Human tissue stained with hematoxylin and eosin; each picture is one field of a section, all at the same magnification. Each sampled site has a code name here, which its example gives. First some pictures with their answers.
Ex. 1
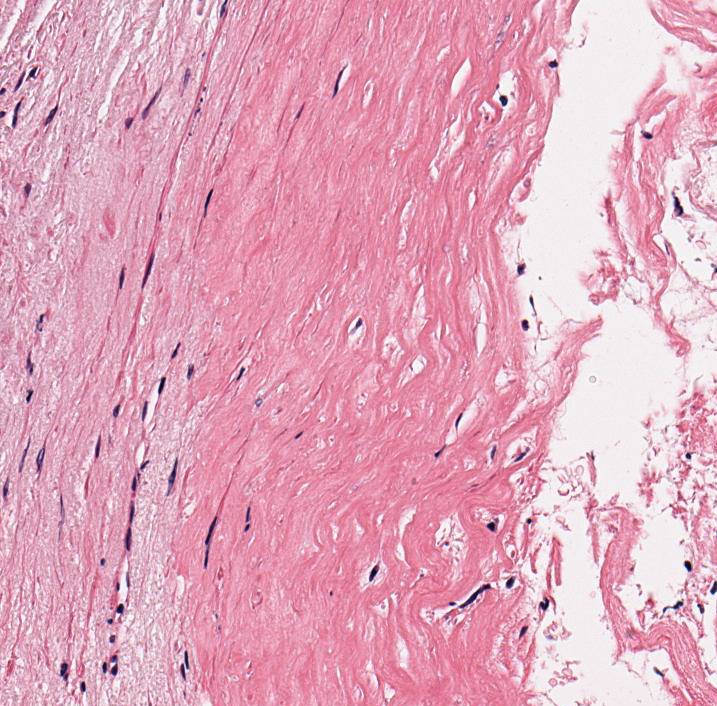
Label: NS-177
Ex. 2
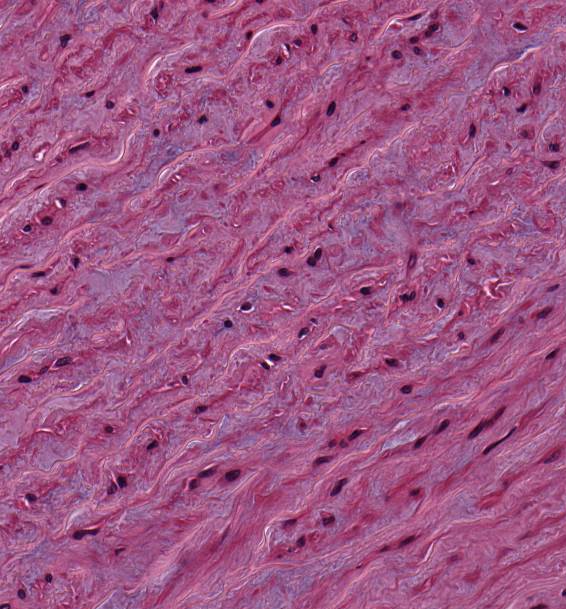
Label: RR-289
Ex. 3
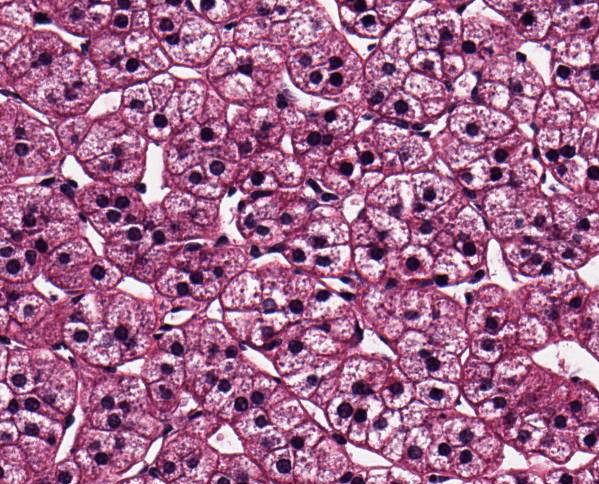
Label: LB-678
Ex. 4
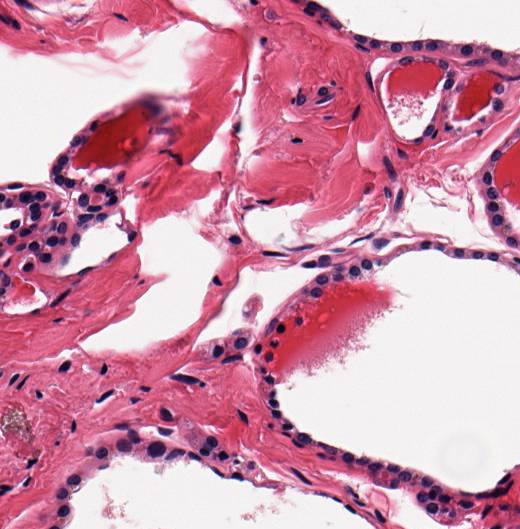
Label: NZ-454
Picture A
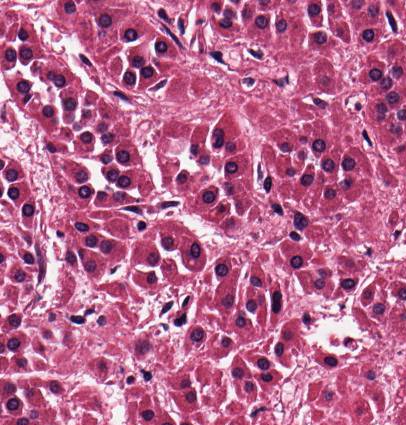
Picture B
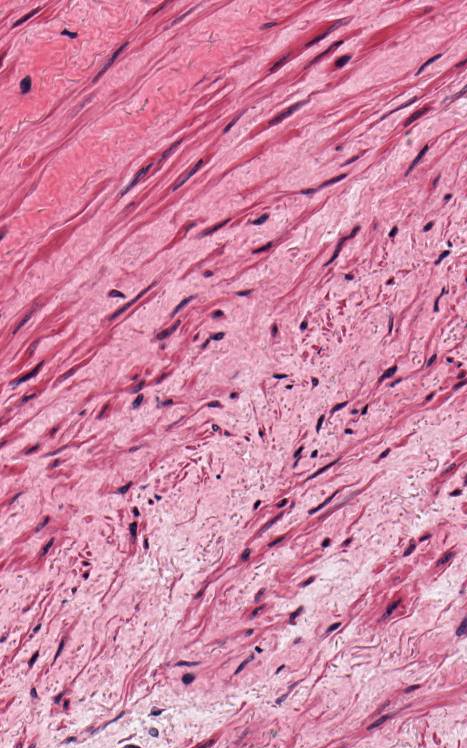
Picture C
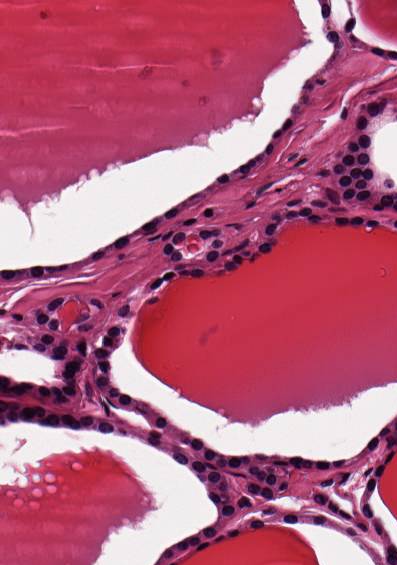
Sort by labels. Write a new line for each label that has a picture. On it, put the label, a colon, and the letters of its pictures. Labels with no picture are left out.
NS-177: B
LB-678: A
NZ-454: C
